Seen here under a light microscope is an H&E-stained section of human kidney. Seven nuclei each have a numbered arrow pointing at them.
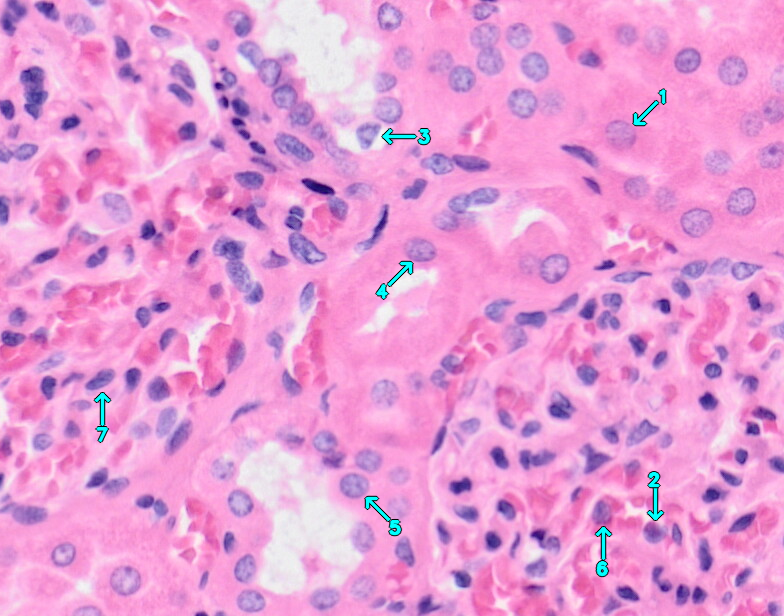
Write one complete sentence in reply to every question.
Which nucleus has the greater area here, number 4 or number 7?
Nucleus 4 covers more area, about 2 times as much as nucleus 7.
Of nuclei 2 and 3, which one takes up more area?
Nucleus 3 covers more area, about 1.5 times as much as nucleus 2.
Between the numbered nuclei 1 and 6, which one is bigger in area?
Of the two, number 1 is bigger and takes up about 1.5 times the area of number 6.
